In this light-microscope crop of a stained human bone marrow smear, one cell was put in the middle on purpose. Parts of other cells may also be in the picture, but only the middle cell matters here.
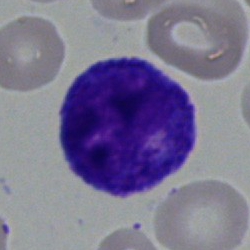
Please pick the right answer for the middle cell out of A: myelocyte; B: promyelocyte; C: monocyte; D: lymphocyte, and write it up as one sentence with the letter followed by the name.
At the centre of the crop lies a promyelocyte, which makes option B correct.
